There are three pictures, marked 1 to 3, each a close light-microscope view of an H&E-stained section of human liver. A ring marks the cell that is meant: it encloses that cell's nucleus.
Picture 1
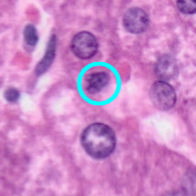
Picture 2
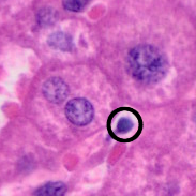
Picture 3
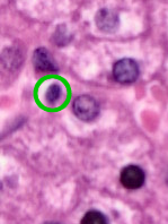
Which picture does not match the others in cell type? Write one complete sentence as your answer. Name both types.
Picture 1 differs, because its cell is a “fibroblast or stellate cell” and the rest are lymphocytes.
